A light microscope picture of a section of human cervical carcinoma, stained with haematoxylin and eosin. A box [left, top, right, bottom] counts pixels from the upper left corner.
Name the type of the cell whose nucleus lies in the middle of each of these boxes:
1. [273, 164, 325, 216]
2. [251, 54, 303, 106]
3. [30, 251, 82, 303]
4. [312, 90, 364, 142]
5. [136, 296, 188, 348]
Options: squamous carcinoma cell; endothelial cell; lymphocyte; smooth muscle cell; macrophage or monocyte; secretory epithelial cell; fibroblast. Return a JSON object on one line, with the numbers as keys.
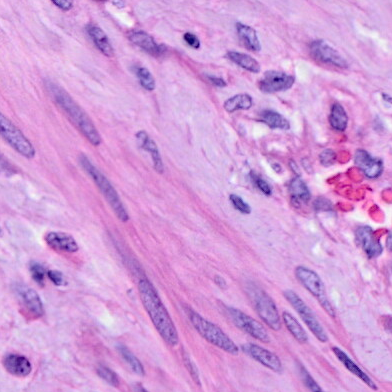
{"1": "endothelial cell", "2": "macrophage or monocyte", "3": "lymphocyte", "4": "endothelial cell", "5": "smooth muscle cell"}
